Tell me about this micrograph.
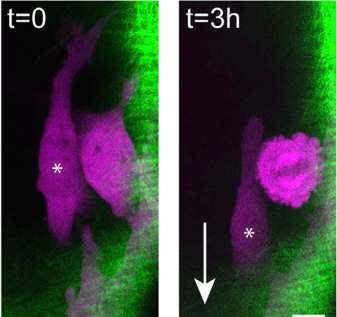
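One cell, marked by an asterisk, is elongated and spread at the start and later lies further down, narrower and tapered, having moved in the direction of the arrow. The neighbouring cell is spread at first but later appears rounded with a bumpy, knobbly surface.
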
